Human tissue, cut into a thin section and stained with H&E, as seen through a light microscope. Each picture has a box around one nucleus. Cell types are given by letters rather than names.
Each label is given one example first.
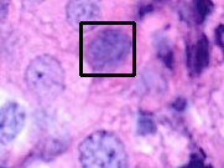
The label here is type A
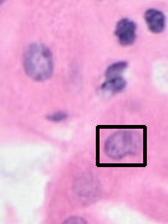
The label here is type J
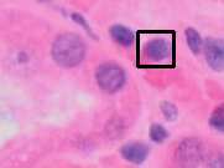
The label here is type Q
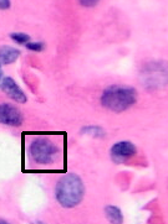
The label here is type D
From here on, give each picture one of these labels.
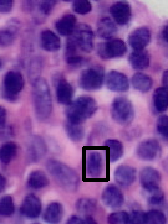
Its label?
type Q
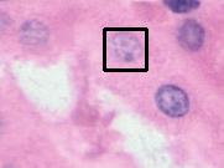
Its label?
type J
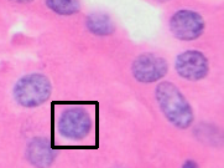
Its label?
type D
